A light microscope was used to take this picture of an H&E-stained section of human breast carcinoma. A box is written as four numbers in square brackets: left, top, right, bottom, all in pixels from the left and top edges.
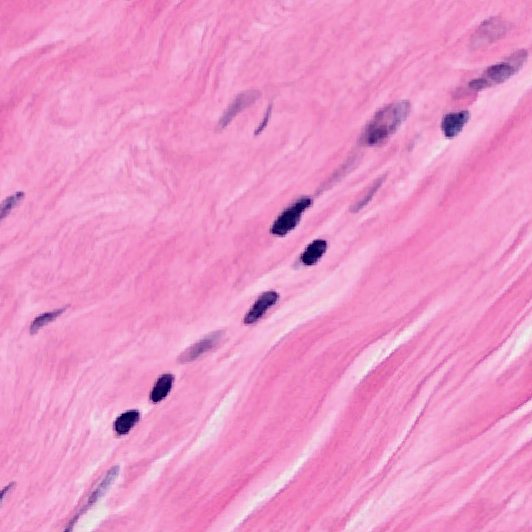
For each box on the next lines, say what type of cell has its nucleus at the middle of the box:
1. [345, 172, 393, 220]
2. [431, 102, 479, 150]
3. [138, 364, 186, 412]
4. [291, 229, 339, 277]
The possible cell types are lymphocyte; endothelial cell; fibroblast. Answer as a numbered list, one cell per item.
1. fibroblast
2. lymphocyte
3. lymphocyte
4. lymphocyte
